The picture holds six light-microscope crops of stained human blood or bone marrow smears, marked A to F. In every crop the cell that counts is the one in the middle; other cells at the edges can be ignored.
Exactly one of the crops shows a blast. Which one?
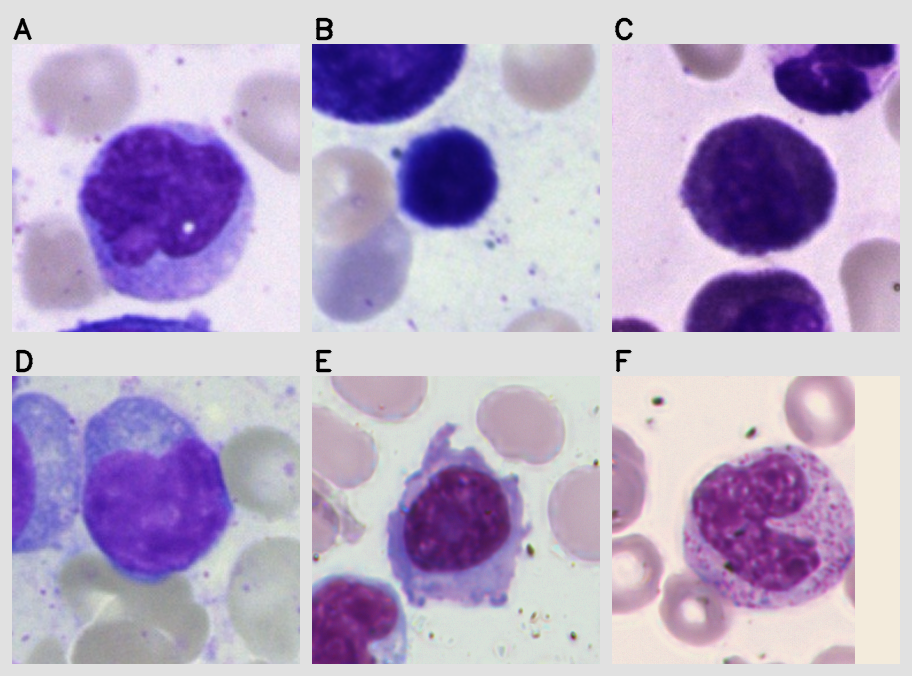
D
